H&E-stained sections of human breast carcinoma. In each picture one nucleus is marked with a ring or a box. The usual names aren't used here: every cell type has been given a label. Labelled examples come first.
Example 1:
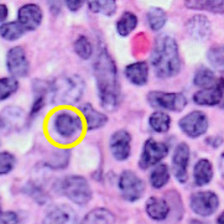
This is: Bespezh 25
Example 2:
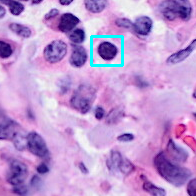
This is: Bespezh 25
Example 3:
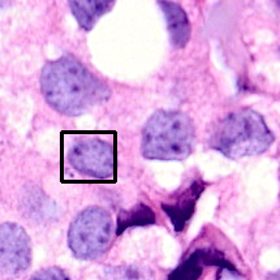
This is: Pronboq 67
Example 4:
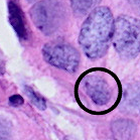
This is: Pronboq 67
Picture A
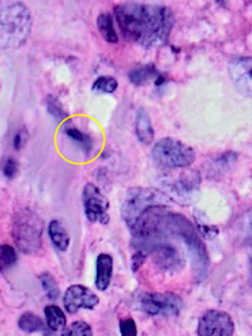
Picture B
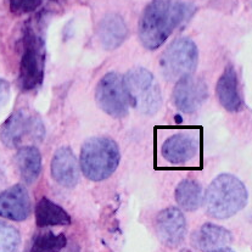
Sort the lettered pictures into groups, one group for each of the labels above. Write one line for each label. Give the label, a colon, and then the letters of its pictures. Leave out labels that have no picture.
Bespezh 25: A
Pronboq 67: B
